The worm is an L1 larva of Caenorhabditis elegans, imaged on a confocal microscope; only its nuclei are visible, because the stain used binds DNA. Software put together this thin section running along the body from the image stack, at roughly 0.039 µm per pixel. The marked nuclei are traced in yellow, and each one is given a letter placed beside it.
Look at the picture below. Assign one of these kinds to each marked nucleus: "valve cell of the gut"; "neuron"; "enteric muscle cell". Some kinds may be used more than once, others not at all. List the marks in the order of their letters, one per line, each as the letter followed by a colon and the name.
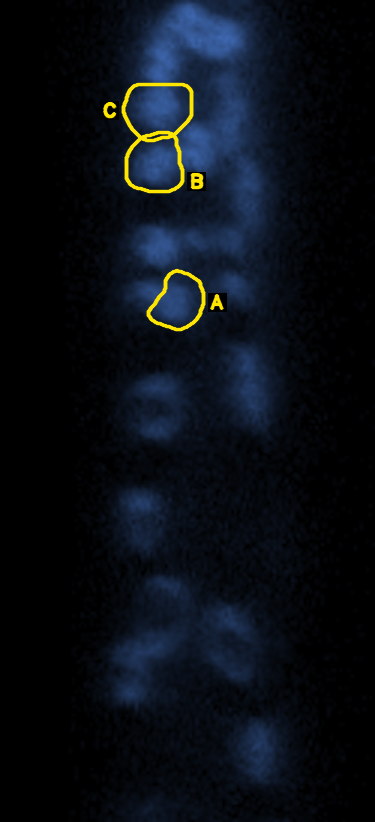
A: valve cell of the gut
B: neuron
C: neuron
